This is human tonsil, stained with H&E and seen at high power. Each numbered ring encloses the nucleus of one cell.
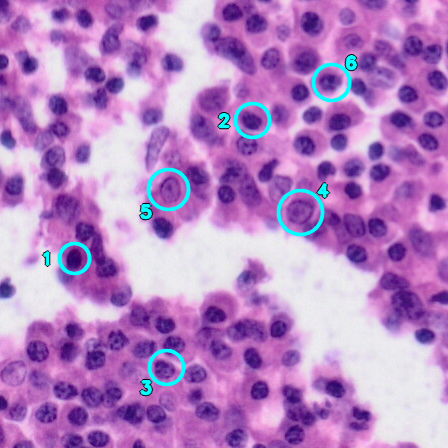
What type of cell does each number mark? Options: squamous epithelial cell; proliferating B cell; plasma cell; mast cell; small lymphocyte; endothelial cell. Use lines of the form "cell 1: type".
cell 1: plasma cell
cell 2: plasma cell
cell 3: plasma cell
cell 4: squamous epithelial cell
cell 5: squamous epithelial cell
cell 6: plasma cell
